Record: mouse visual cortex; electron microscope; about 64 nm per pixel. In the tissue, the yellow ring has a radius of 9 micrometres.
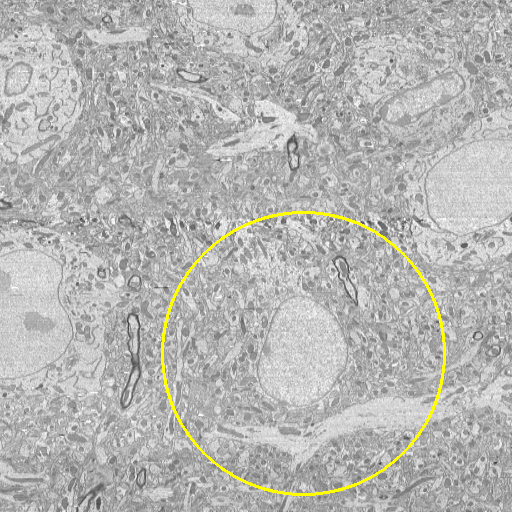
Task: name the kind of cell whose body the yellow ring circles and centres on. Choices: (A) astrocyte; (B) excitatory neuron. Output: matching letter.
A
